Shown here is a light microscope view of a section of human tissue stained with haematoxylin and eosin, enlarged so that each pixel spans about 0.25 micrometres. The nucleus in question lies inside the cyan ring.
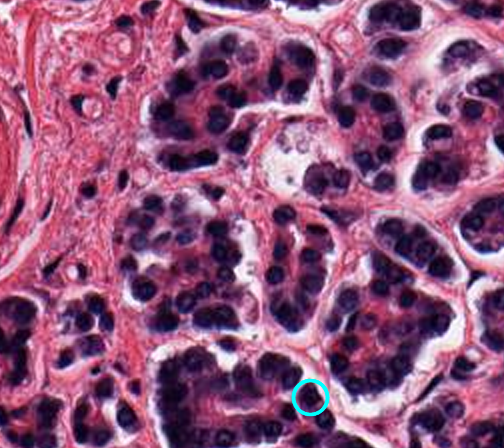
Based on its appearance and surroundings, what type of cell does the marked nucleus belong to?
pancreatic acinar cell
